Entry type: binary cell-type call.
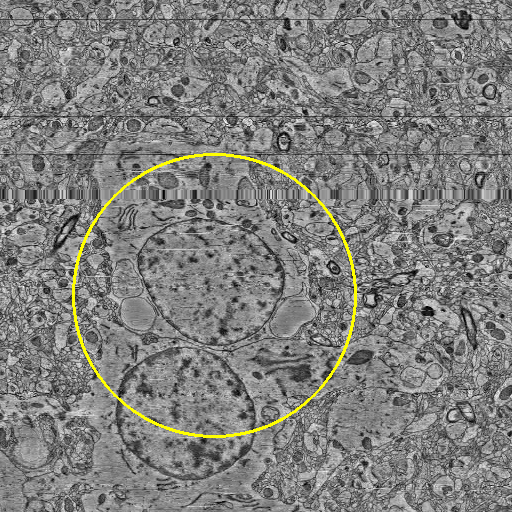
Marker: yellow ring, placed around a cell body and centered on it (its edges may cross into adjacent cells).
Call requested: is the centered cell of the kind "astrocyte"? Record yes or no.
yes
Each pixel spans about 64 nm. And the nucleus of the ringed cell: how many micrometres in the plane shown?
The nucleus measures about 9 micrometers across in this plane.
